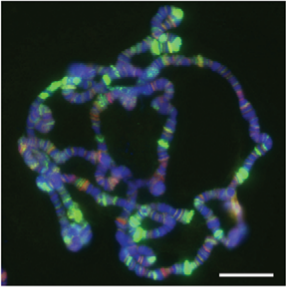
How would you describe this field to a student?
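Squash of giant banded salivary gland chromosomes, with long thick arms looping across the whole field. Green and red bands sit across the arms at many sites, some overlapping as yellow. Bright green blocks are larger and scattered in clusters, while red bands are mostly thinner and more regular. Arms are joined at shared points, forming a connected network.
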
